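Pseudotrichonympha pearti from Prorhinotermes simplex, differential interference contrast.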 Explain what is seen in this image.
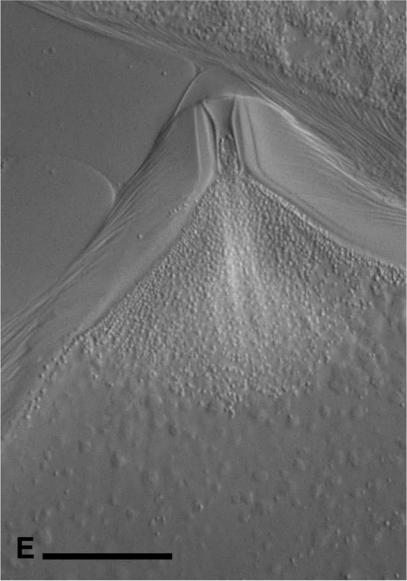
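Close view of the anterior rostral region of a large flagellate, with a pointed apical cap at the tip and a narrow rostral tube running down the midline. Long bundles of flagella sweep backwards along both sides from the tip, and the cytoplasm below is filled with fine granules.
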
